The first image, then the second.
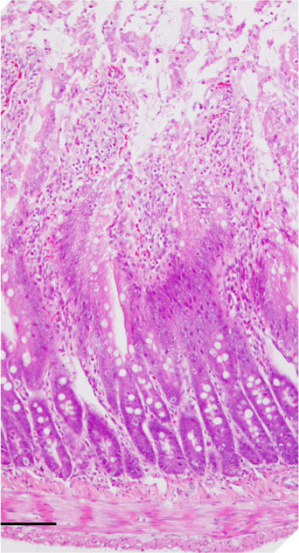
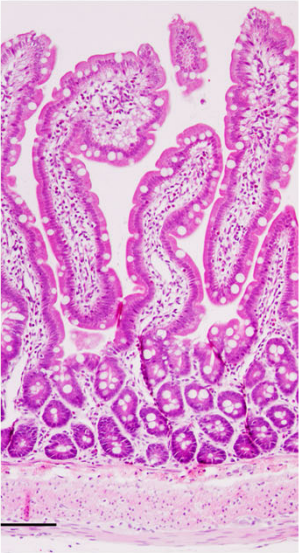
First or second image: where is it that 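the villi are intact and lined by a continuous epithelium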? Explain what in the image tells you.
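First image: no distinct villi, the upper mucosa is a fragmented disorganized mass. Second image: long slender villi with an unbroken epithelial lining. On this evidence: the second image.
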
